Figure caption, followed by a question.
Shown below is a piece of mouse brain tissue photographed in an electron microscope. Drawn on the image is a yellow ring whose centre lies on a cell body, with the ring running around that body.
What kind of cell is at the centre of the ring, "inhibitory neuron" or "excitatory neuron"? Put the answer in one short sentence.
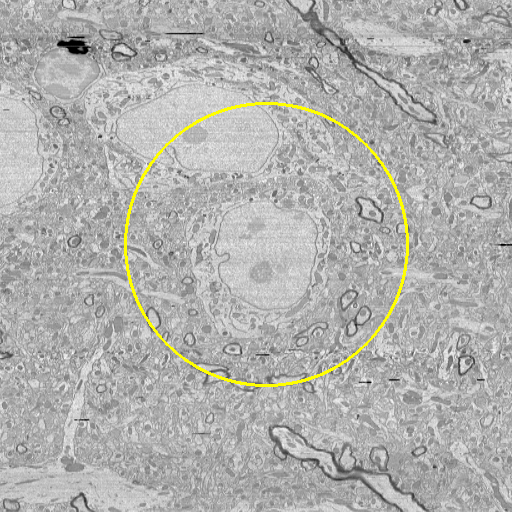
The ring marks the cell body of an inhibitory neuron.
